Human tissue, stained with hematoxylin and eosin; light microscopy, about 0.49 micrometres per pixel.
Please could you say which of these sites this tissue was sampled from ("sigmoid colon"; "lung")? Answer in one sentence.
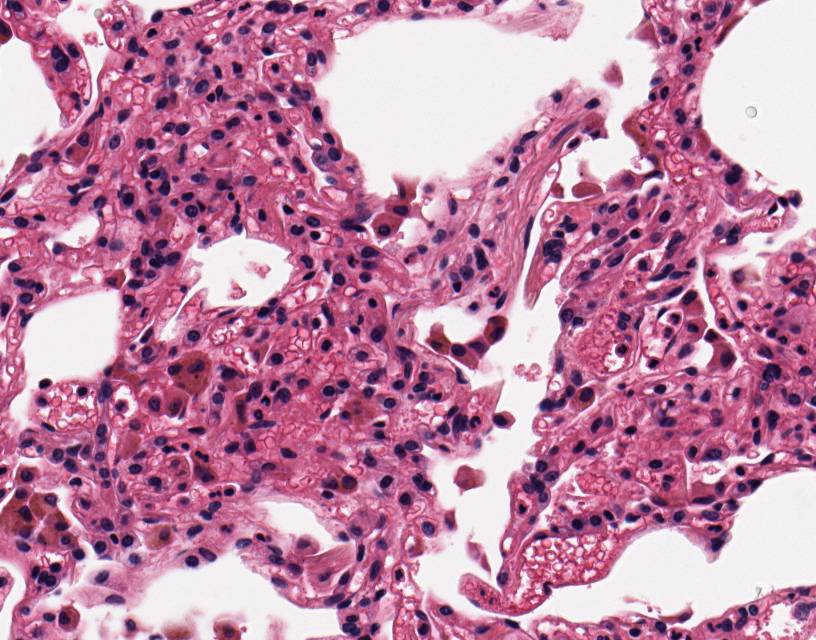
The site this tissue was sampled from is the lung.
